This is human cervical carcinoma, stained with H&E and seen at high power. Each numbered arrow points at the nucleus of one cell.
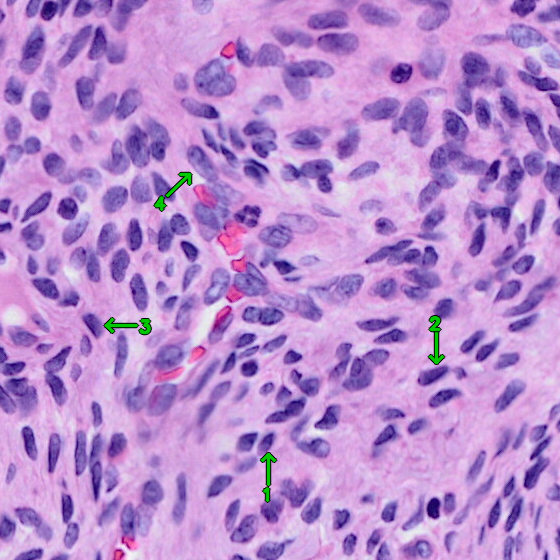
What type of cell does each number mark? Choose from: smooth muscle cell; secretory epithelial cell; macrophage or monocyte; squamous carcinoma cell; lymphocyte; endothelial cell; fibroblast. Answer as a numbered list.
1. fibroblast
2. fibroblast
3. fibroblast
4. endothelial cell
